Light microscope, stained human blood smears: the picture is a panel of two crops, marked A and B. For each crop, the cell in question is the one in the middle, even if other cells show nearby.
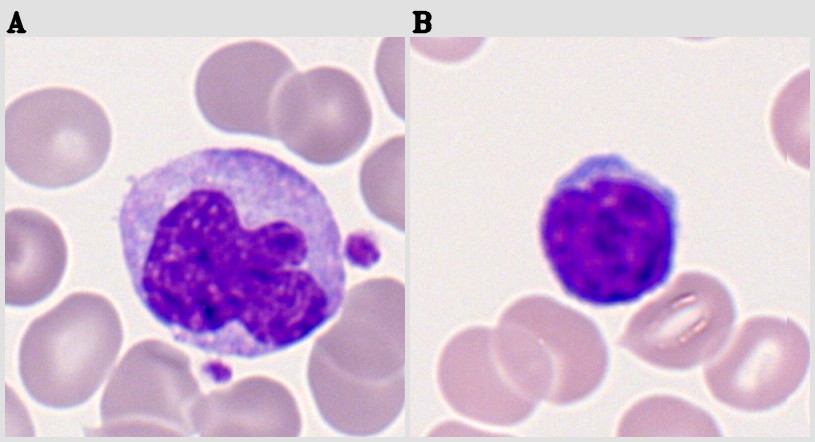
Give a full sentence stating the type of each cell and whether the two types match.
No, a lymphocyte is depicted in crop B, whereas a monocyte is depicted in crop A.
